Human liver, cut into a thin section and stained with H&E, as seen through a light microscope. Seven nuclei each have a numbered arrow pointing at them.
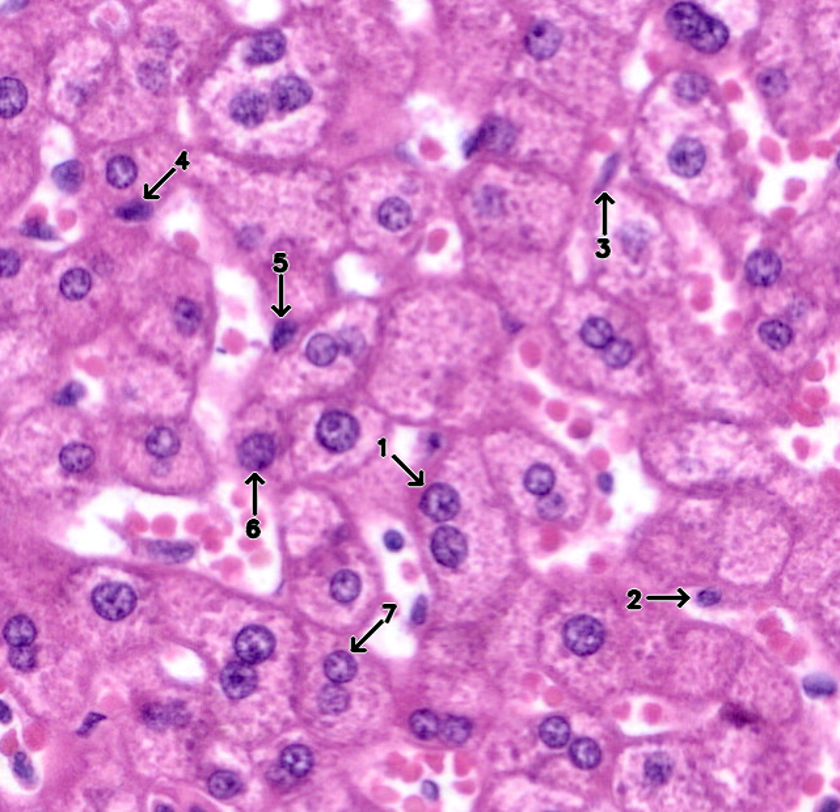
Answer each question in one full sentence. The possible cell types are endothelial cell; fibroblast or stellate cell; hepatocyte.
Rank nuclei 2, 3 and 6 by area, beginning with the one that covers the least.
From smallest to largest, the order is 2, 3, 6.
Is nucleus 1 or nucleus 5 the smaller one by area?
Nucleus 5 covers less area, with nucleus 1 about 2 times as large.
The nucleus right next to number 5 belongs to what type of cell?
The cell nearest to number 5 is a hepatocyte.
